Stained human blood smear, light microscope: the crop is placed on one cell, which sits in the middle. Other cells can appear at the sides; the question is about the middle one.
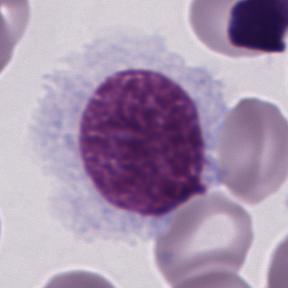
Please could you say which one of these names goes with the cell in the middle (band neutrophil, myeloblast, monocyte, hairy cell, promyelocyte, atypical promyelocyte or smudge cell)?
hairy cell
